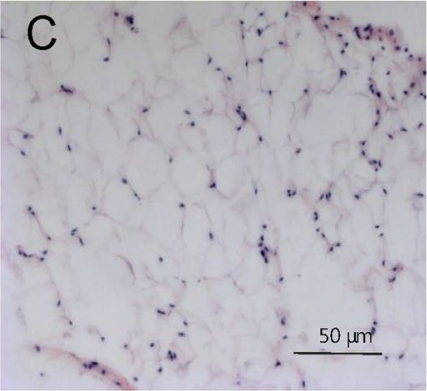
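The field is filled with large, closely packed, rounded-polygonal cells whose interiors are empty and white, bounded only by thin pink membranes. Small dark purple nuclei sit flattened at the edges of the cells or in the thin partitions between them, with a denser cluster of nuclei at the upper right. The empty interiors mark where a single large lipid droplet was dissolved out in processing, so these are fat cells forming adipose tissue with a delicate interstitial framework.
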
